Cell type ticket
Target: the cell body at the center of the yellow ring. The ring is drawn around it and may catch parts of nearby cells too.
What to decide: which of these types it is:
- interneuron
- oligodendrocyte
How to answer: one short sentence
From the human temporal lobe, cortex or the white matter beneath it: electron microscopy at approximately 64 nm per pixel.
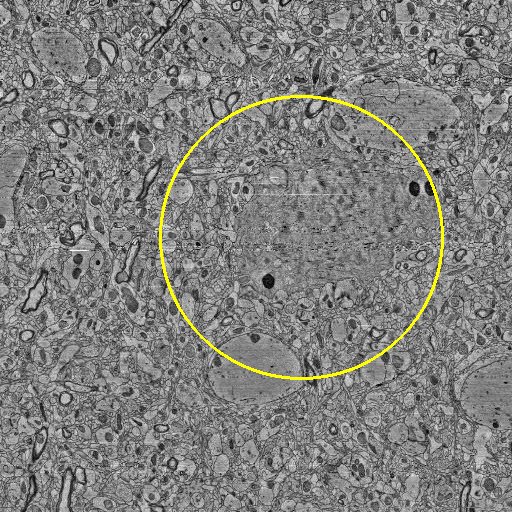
The cell at the center of the ring is an interneuron.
